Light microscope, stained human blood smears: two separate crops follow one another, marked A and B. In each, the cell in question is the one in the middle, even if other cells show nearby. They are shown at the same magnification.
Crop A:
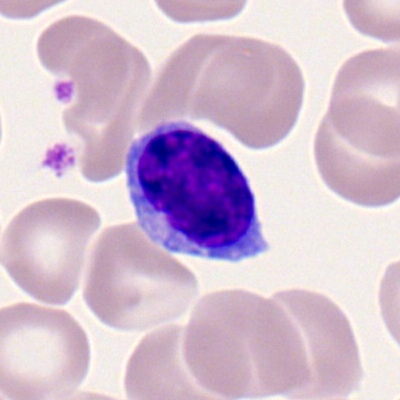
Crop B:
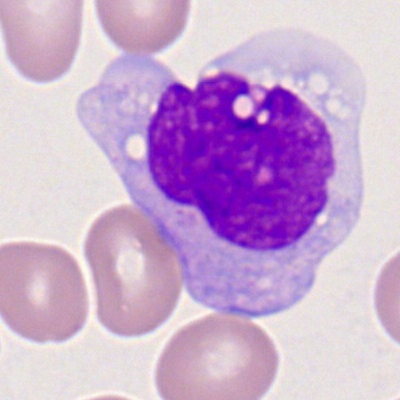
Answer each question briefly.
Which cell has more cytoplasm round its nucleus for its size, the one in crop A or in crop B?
B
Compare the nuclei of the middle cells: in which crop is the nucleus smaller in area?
A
